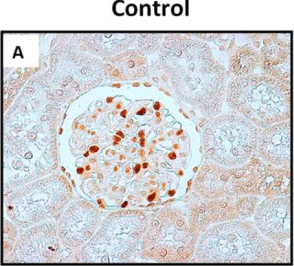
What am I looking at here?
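A kidney glomerulus is seen in section, surrounded by cross-sectioned tubules. The rounded capillary tuft sits within a clear space lined by a thin capsule. Scattered within the tuft are many nuclei stained dark brown to reddish brown, many of them lying along the outer surfaces of the capillary loops. Other nuclei in the tuft are paler. The surrounding tubules have pale, lightly tinted cytoplasm and round nuclei that are not stained dark brown.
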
